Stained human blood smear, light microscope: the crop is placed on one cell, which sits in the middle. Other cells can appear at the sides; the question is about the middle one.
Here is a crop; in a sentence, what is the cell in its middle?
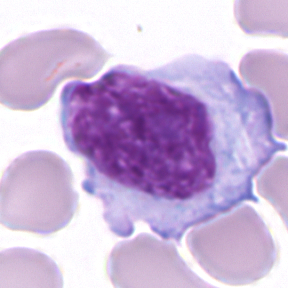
The centrally placed cell is classified as a plasma cell.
